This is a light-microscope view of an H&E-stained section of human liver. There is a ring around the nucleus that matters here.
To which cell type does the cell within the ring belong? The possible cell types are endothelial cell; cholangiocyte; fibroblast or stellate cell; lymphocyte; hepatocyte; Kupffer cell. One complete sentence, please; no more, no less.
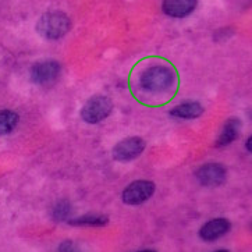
The identity of the cell within the ring is that of a hepatocyte.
